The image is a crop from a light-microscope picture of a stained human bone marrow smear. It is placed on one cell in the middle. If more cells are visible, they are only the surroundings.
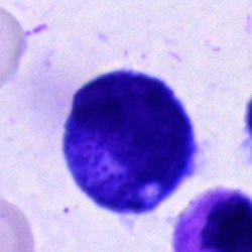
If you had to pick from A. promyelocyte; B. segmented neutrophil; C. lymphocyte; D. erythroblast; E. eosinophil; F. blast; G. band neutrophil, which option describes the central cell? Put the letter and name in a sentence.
That the central cell is a promyelocyte makes option A correct.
